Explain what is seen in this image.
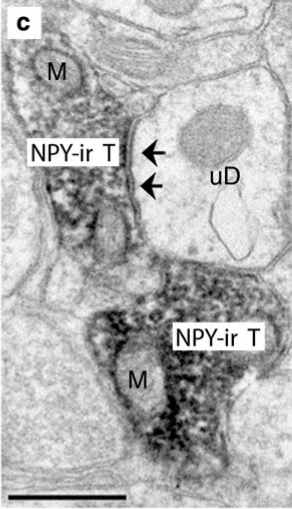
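Here two axon terminals in the neuropil are filled with dark, granular reaction product, each holding a mitochondrion. The upper terminal lies directly against a pale, unlabeled dendritic profile that contains its own mitochondrion; at the contact, marked by arrows, the membranes run parallel with thin densities of similar thickness on both sides, without a thick postsynaptic density, the look of a symmetric synapse. The lower labeled terminal sits just beneath the dendrite. Surrounding profiles are unlabeled and pale, which makes the dense labeled terminals stand out clearly.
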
